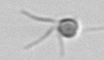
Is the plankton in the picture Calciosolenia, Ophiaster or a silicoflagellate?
It is Ophiaster.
